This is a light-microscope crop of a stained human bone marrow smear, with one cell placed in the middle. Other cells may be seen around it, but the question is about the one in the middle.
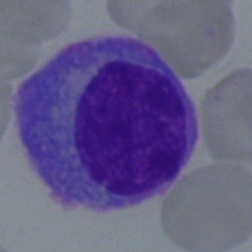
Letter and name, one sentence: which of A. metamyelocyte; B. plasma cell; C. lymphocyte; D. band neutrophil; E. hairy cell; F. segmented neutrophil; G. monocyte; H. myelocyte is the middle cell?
The correct response is option B, naming the cell in the middle as a plasma cell.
